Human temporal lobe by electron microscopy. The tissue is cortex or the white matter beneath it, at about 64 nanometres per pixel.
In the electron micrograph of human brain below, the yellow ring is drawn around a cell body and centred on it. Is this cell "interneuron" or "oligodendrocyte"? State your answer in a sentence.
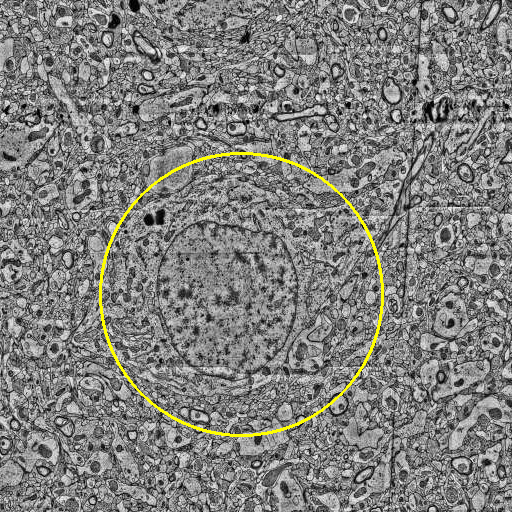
The cell in the middle of the ring is an interneuron.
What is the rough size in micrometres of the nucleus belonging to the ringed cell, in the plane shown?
In this plane, the nucleus of the cell at the centre of the ring is about 10 micrometres across.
